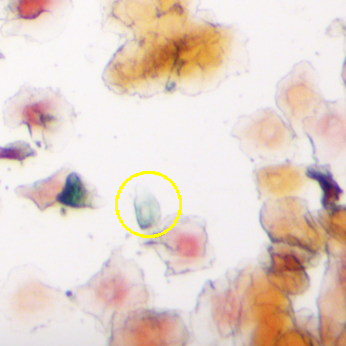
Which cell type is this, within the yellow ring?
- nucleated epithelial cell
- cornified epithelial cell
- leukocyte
Within the ring is a nucleated epithelial cell.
